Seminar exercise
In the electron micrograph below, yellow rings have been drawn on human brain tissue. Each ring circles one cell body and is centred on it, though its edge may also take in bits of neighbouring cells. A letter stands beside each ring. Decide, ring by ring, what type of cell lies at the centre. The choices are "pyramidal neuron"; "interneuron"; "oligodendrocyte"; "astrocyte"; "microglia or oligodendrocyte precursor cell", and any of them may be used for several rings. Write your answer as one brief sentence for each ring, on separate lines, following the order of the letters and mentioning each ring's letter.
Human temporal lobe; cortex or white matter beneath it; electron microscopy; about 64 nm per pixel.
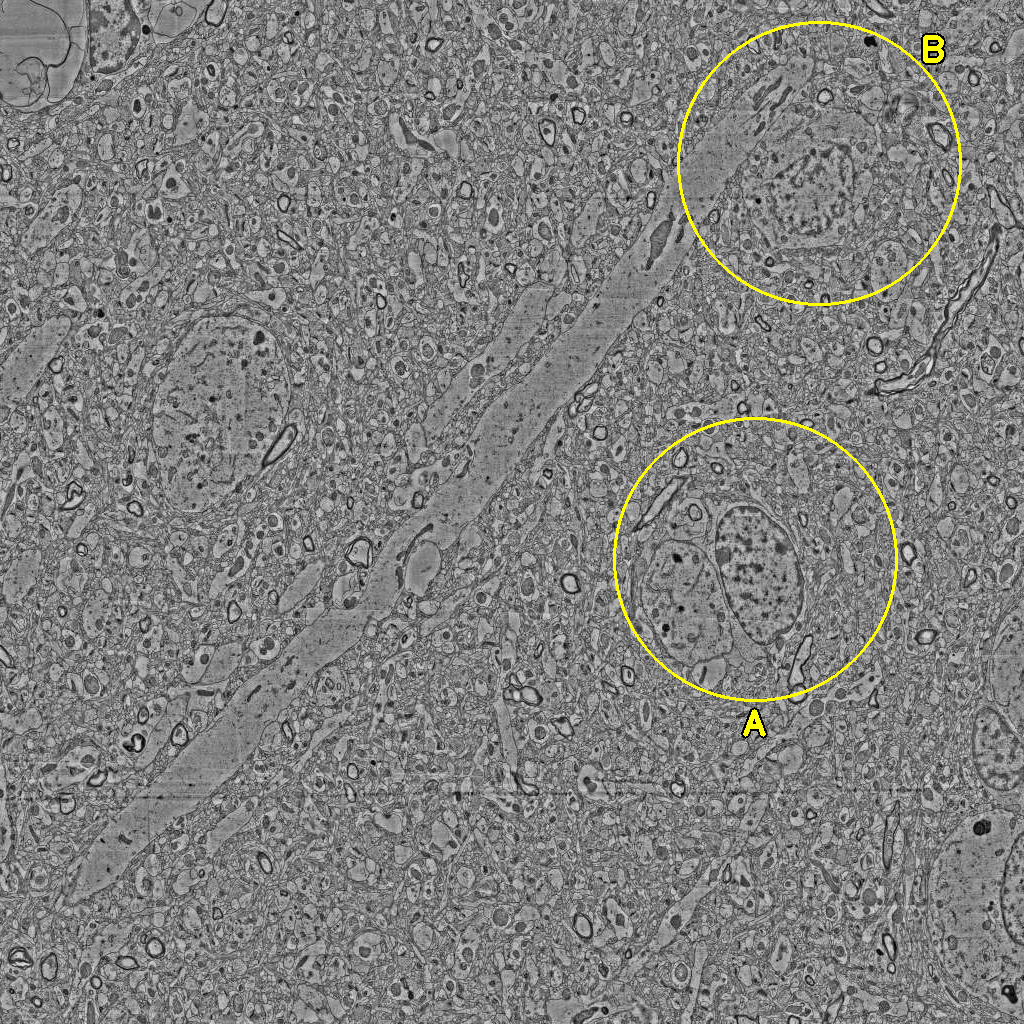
The cell in the middle of ring A is a microglial cell or oligodendrocyte precursor cell.
The cell in the middle of ring B is an interneuron.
